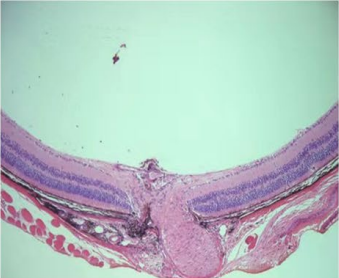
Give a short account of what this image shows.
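Section of retina at the optic nerve head, with the nerve passing through the pigmented choroid and sclera. The retinal layers lie flat and parallel on both sides of the disc, with purple nuclear layers and pale pink plexiform layers in regular order. A black pigmented layer runs continuously beneath the retina. The space above the inner retinal surface is clear, with hardly any cells in it. Pink muscle bundles lie outside the sclera at the bottom left.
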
